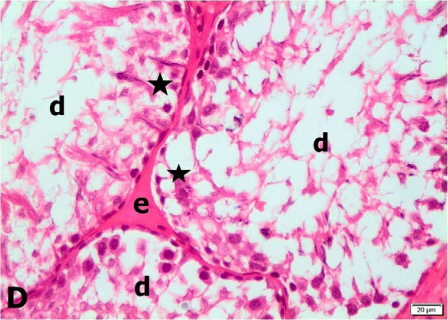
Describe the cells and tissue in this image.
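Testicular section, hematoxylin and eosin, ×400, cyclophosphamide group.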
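Seminiferous tubules of the testis show severe degeneration, their epithelium broken up by many large clear vacuoles into a pale pink meshwork. Only scattered cells with purple nuclei remain, some small and dark, and the layered arrangement of germ cells is lost. Between the tubules a band of homogeneous bright pink material widens the interstitial space, in keeping with edema. The tubule at the bottom shows a loosened, vacuolated epithelium lying on its thin boundary.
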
